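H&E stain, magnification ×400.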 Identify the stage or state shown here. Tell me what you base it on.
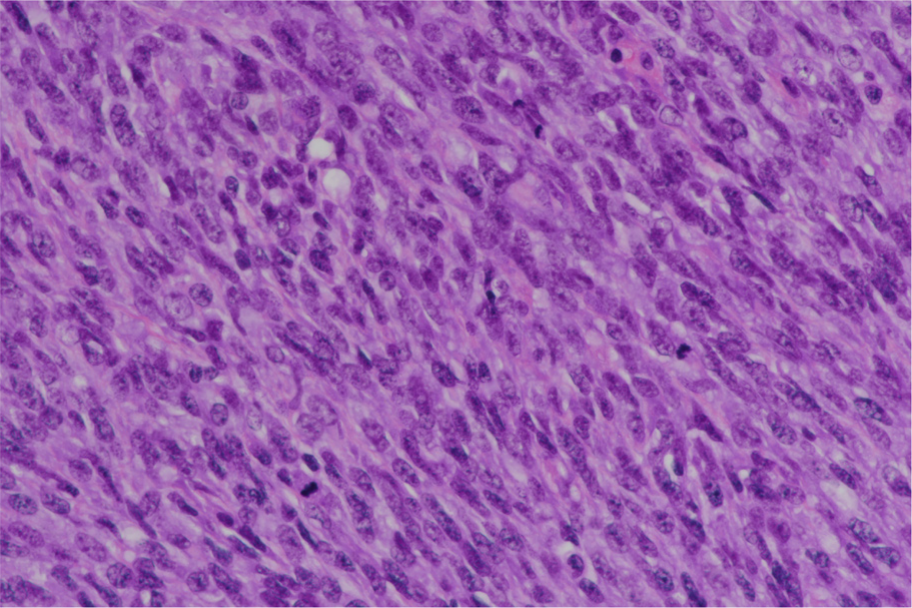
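Mitotic figures. Several small, very dark, condensed chromatin clumps scattered among the nuclei.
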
